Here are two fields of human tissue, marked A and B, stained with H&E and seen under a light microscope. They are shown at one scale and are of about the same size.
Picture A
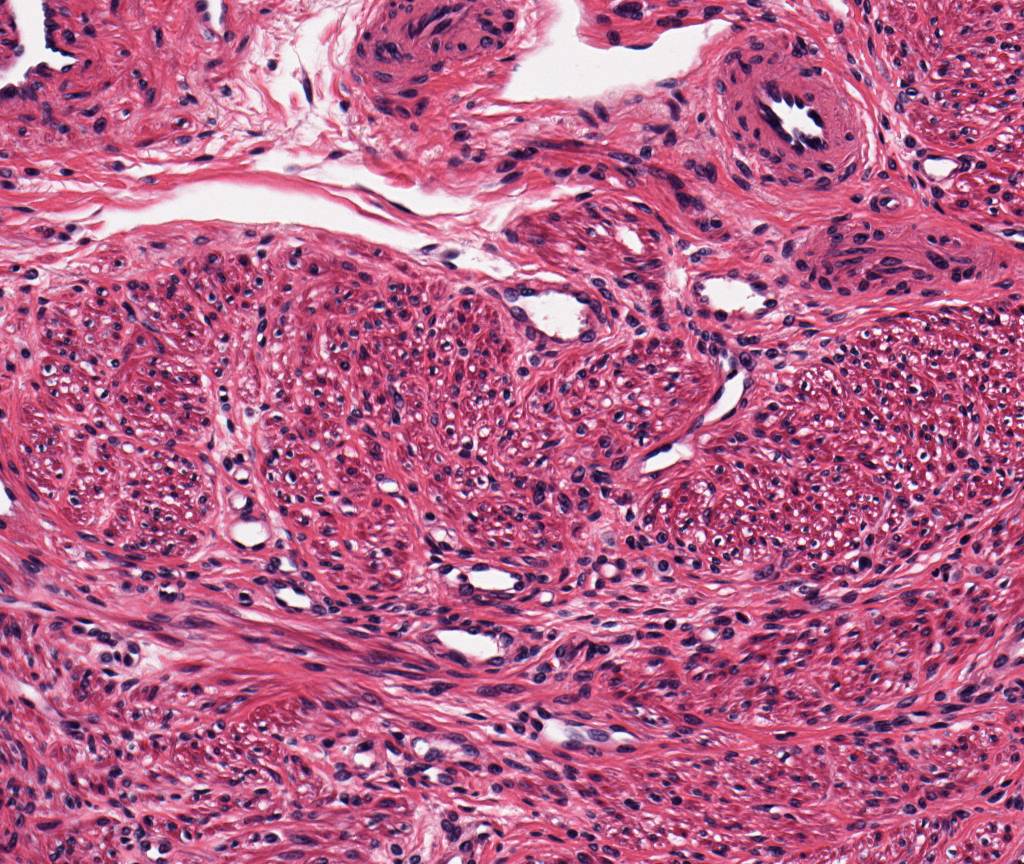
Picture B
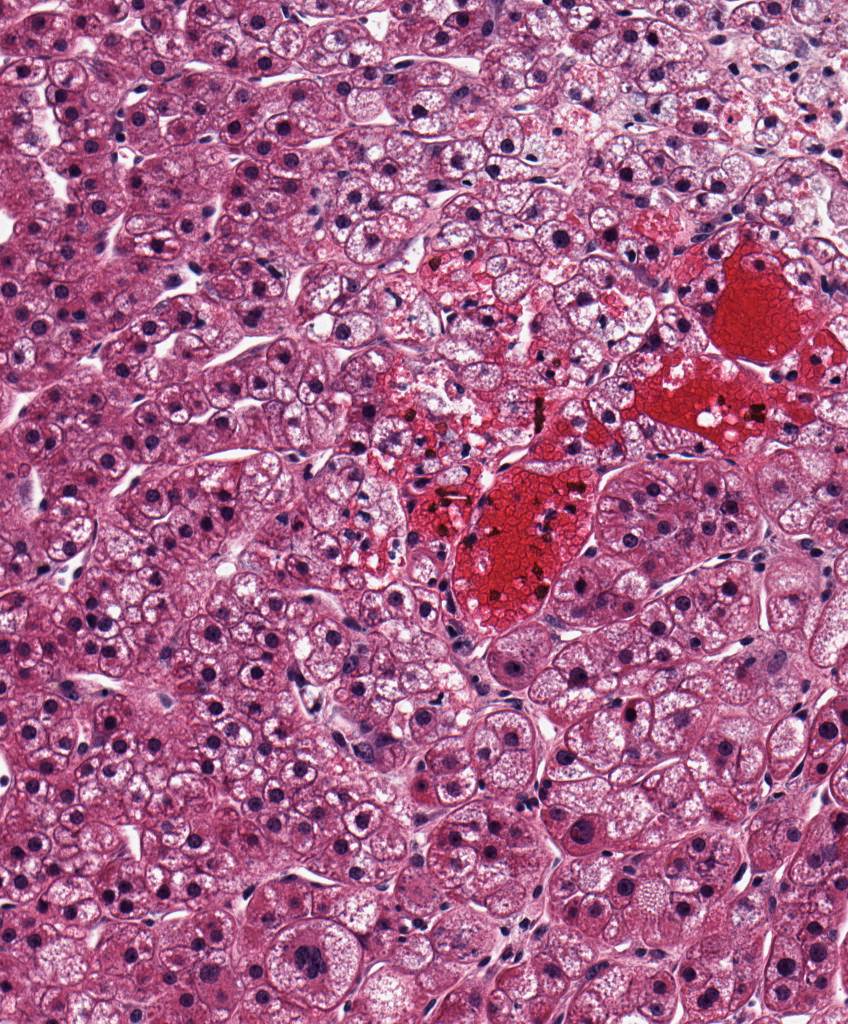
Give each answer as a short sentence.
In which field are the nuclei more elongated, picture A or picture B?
It is picture A whose nuclei are the more elongated.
